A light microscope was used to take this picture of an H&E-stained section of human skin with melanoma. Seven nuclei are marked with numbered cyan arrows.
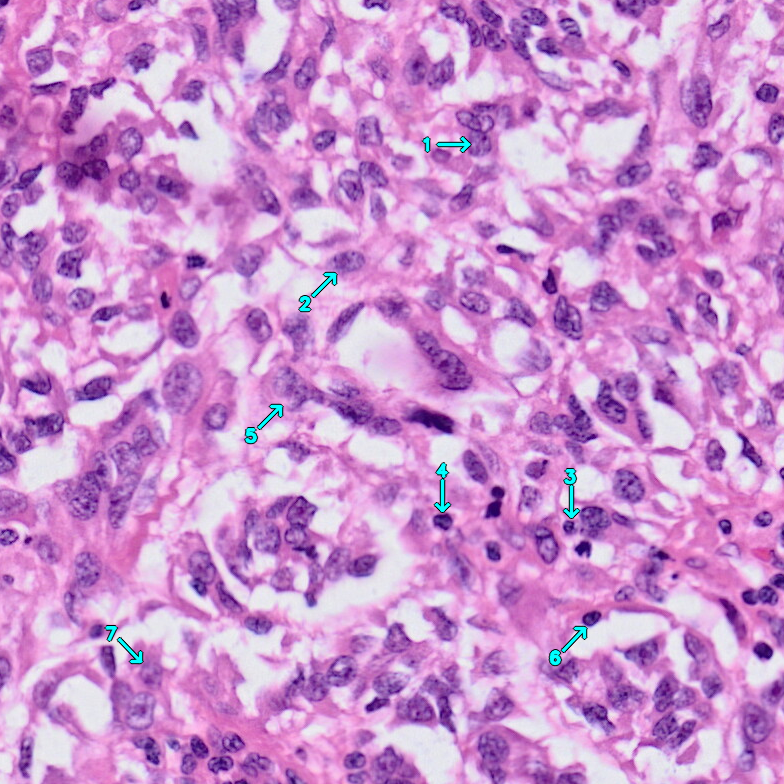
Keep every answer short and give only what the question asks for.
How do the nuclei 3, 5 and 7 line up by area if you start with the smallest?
3, 7, 5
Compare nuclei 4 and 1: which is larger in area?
1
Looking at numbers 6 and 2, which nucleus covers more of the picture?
2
